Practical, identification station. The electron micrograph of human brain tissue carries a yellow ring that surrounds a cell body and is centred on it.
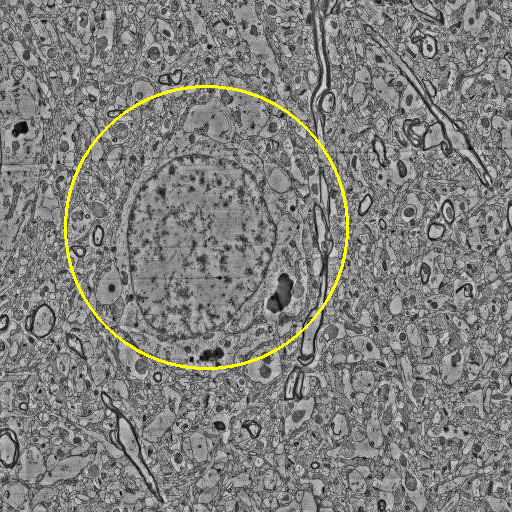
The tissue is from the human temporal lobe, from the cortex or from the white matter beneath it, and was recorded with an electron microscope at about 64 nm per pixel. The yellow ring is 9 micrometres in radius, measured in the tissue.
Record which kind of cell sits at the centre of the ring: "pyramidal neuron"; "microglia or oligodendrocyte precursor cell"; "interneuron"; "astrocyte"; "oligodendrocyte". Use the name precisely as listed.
interneuron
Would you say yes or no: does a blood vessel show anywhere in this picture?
No, the image shows no blood vessel.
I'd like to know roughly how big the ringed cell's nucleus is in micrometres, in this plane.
Roughly 12 by 9 micrometres is the size of the nucleus in this plane.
